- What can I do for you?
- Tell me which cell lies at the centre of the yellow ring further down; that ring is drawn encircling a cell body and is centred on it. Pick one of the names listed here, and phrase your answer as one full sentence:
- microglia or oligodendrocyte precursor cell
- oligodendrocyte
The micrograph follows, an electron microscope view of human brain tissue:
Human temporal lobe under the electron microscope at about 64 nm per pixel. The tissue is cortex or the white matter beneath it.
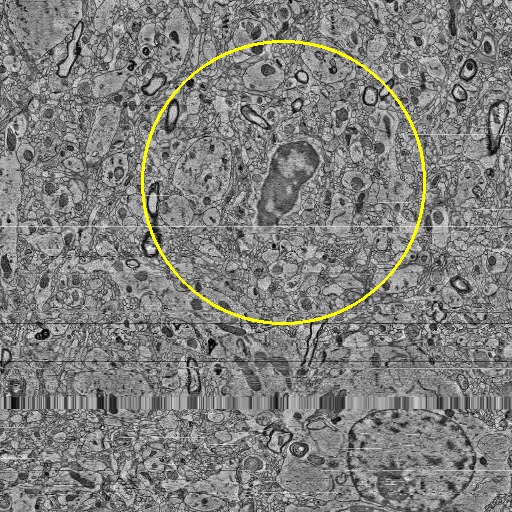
The cell whose body lies at the centre of the yellow ring is a microglial cell or oligodendrocyte precursor cell.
